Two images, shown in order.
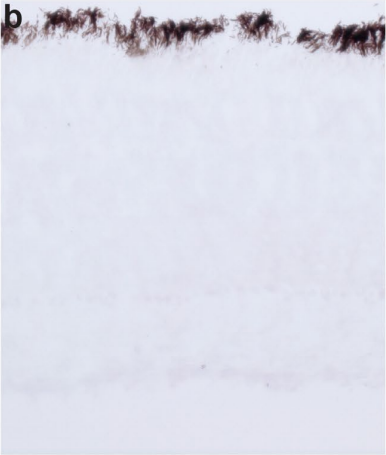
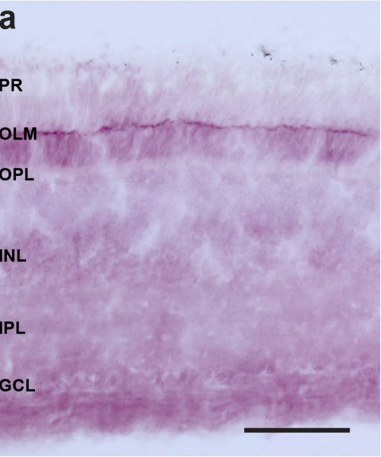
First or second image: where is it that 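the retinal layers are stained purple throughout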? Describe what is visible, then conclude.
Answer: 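First image: the retina below the dark brown band at the top is almost colourless. Second image: purple stain fills all layers, with a darker purple line near the top. The answer: the second image.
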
